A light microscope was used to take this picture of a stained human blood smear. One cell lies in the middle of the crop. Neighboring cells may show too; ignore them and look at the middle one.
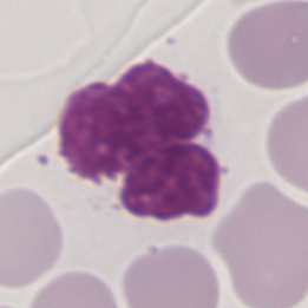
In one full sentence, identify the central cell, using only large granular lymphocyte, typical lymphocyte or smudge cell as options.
Positioned in the middle of the crop is a smudge cell.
